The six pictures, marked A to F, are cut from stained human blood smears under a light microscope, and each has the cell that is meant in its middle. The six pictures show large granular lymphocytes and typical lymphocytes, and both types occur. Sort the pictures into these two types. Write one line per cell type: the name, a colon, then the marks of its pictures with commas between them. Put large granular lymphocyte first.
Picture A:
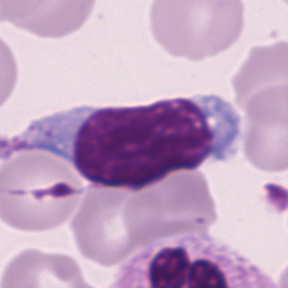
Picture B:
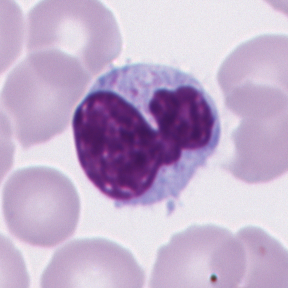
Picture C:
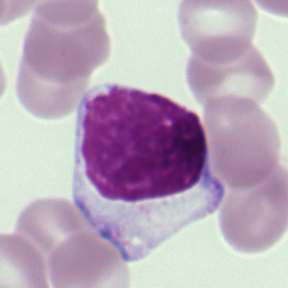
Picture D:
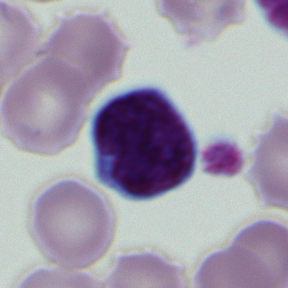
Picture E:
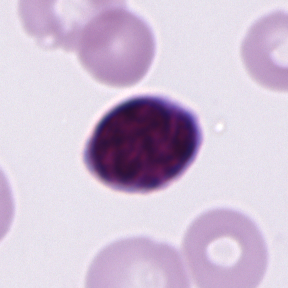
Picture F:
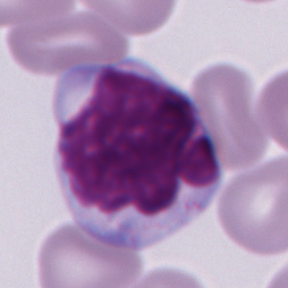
large granular lymphocyte: B, C, E, F
typical lymphocyte: A, D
